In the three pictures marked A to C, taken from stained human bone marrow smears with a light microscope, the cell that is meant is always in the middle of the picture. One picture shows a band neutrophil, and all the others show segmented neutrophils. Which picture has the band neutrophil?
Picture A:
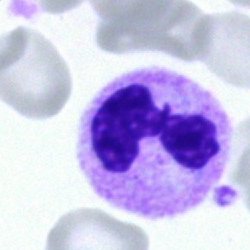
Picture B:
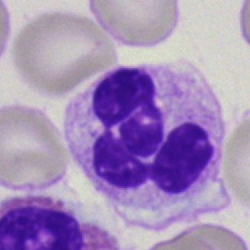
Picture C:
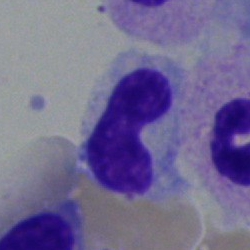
C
